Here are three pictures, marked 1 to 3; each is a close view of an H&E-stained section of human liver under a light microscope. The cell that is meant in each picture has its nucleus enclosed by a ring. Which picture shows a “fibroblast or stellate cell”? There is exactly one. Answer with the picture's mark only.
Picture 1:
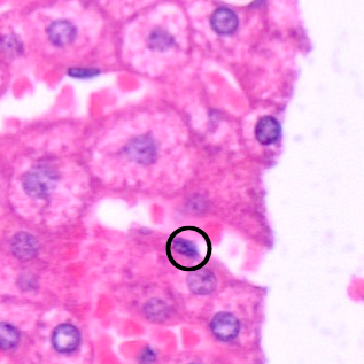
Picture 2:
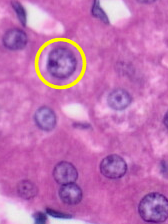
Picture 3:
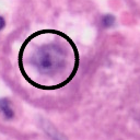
1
